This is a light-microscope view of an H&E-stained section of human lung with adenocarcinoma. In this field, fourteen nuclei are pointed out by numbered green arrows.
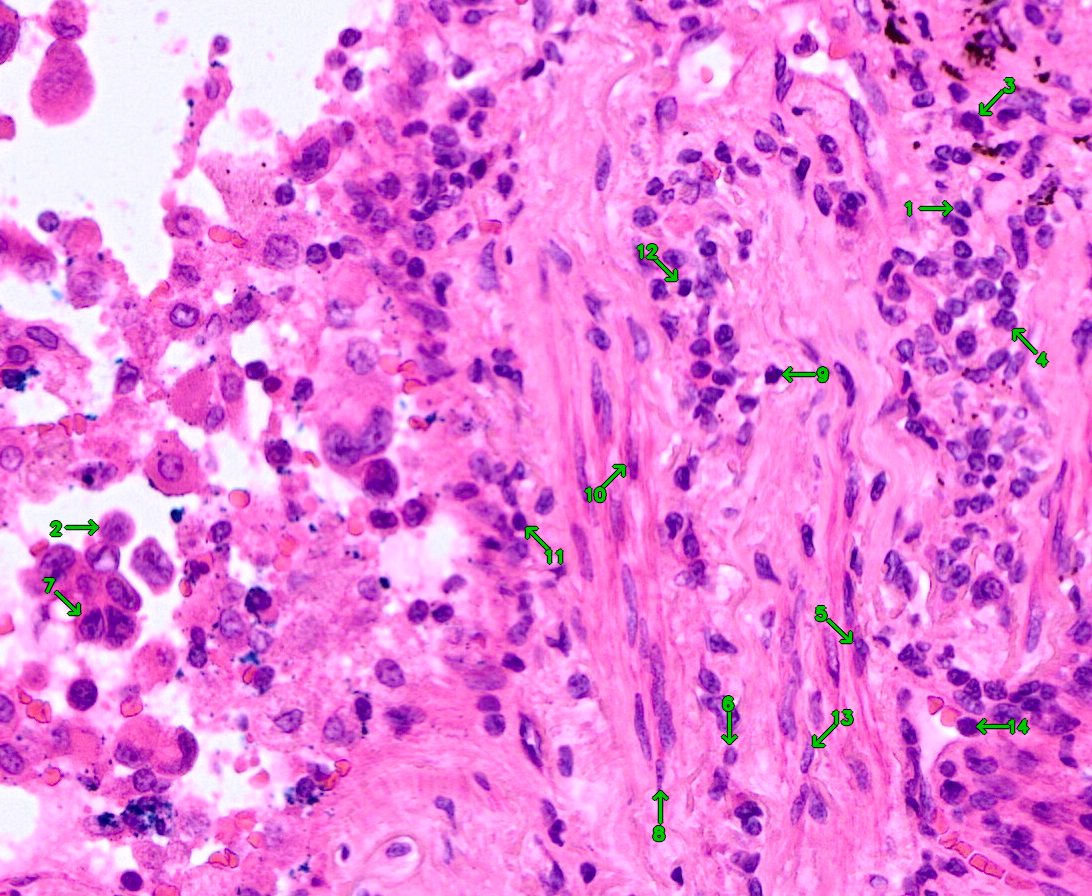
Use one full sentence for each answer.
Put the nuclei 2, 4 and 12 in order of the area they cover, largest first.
Going from the biggest nucleus down to the smallest gives 2, 4, 12.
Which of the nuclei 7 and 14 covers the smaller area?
Nucleus 14 covers less area, with nucleus 7 about 1.5 times as large.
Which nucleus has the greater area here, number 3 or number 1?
Nucleus 3 is the larger one, covering about 2 times the area of nucleus 1.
